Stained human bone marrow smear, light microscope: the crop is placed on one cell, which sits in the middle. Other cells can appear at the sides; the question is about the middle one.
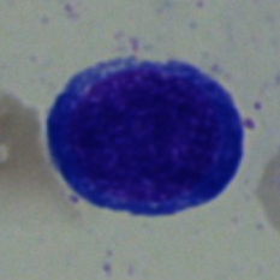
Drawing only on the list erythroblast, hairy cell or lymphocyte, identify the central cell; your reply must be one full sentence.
What the crop centres on is an erythroblast.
